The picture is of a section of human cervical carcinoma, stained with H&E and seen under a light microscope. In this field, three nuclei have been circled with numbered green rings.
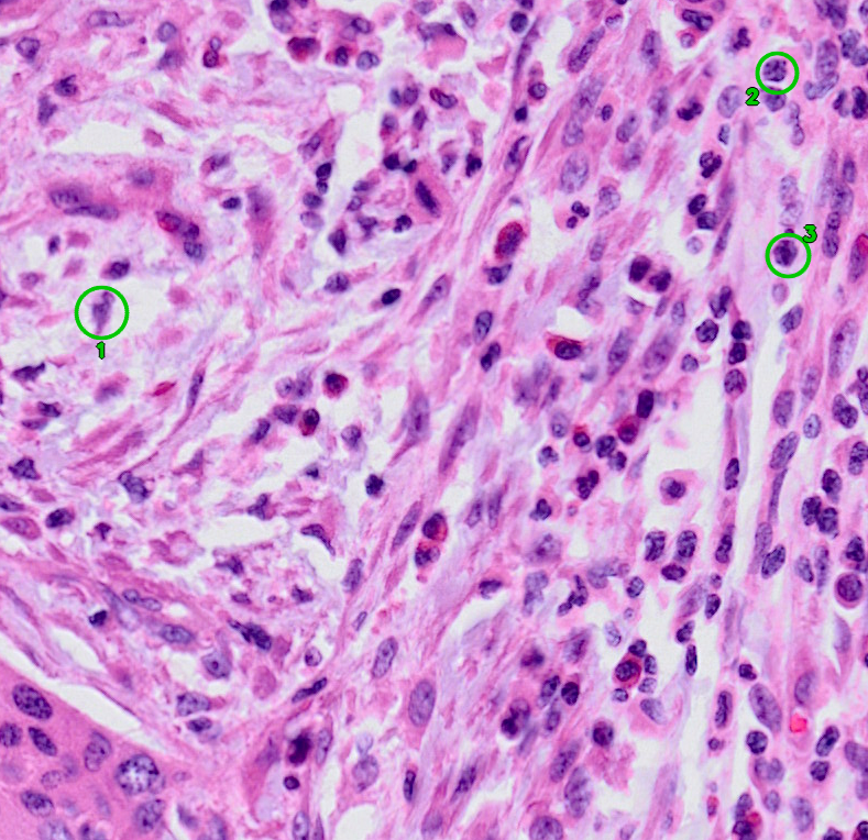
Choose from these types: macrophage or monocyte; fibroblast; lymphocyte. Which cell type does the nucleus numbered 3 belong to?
lymphocyte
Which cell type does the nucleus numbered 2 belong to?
lymphocyte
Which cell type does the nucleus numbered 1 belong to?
fibroblast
